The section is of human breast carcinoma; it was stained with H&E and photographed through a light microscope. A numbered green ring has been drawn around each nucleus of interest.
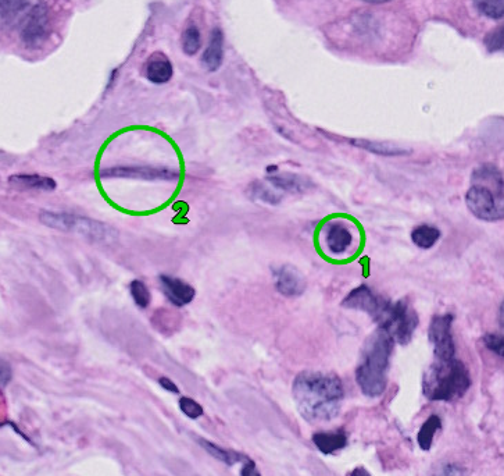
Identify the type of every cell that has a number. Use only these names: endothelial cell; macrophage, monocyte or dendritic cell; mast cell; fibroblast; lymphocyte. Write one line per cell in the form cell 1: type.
cell 1: lymphocyte
cell 2: fibroblast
